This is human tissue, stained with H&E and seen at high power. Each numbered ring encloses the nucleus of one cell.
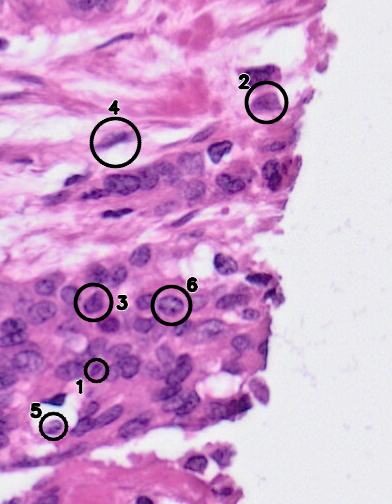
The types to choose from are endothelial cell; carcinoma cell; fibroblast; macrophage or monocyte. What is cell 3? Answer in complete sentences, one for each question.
Here, the cell given the number 3 is a carcinoma cell.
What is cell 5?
Recognised here as a carcinoma cell is the cell numbered 5.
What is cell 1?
The nucleus marked 1 is the nucleus of a carcinoma cell.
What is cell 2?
In this section, number 2 marks a carcinoma cell.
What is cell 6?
The one labeled 6 is a macrophage or monocyte, to put it simply.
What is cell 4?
The marked nucleus 4 is that of a fibroblast.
